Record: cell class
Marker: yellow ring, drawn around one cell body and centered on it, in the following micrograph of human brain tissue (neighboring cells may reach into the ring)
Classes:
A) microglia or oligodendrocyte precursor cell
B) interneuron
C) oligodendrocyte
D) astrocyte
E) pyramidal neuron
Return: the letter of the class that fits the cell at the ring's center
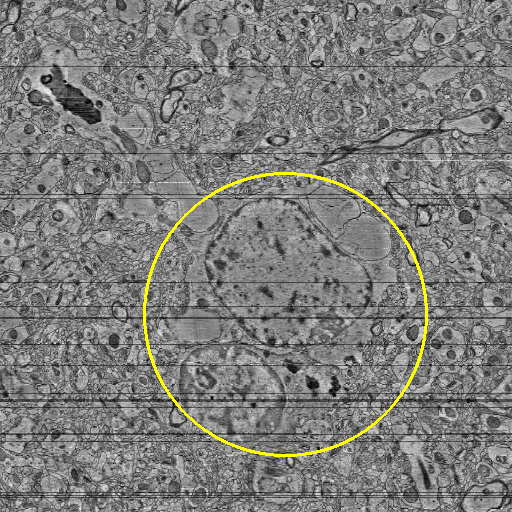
D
